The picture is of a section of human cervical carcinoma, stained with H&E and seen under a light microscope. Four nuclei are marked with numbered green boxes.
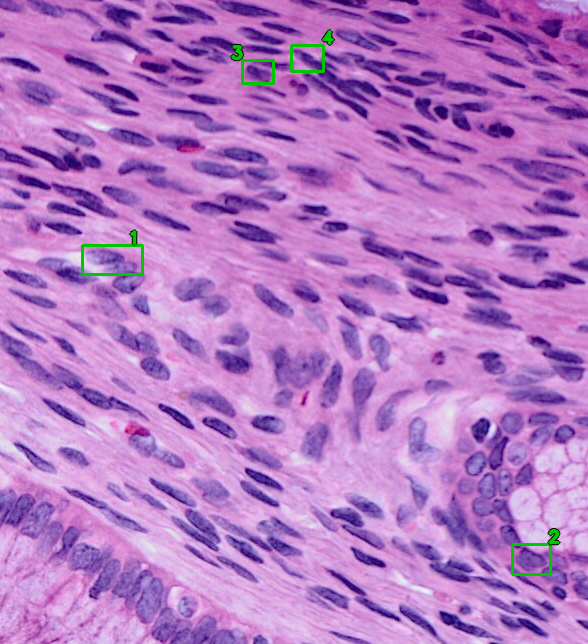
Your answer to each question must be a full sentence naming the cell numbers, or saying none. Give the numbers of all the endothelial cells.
Whereas cell 1 is an endothelial cell, the other numbered cells are not.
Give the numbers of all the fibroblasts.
The cells whose numbers are 3 and 4 are fibroblasts.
